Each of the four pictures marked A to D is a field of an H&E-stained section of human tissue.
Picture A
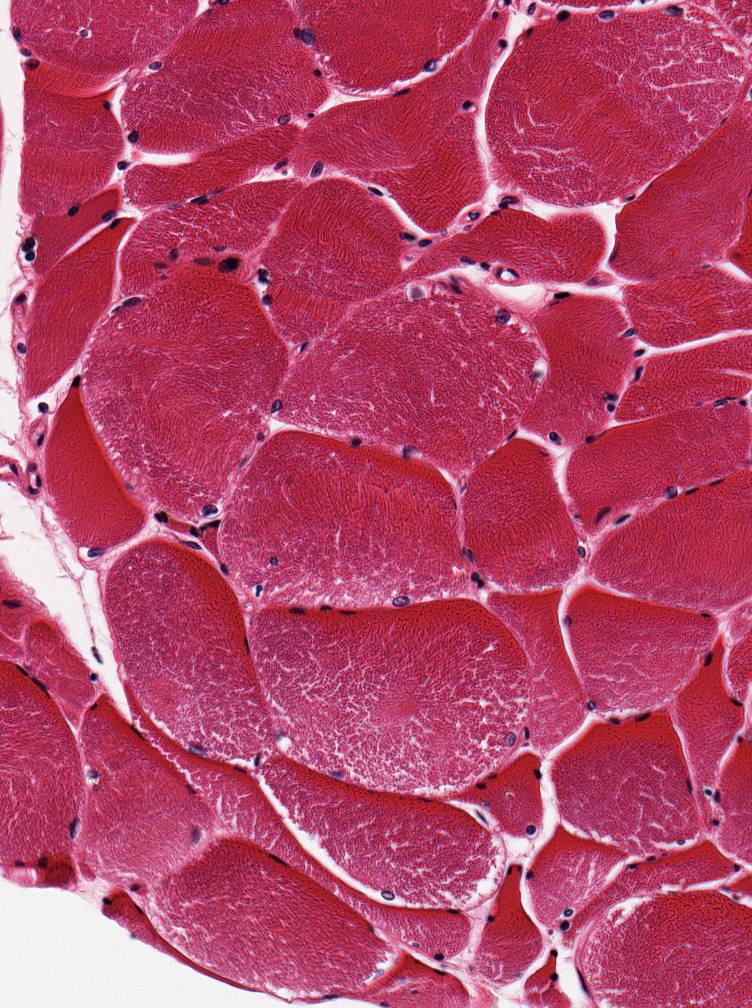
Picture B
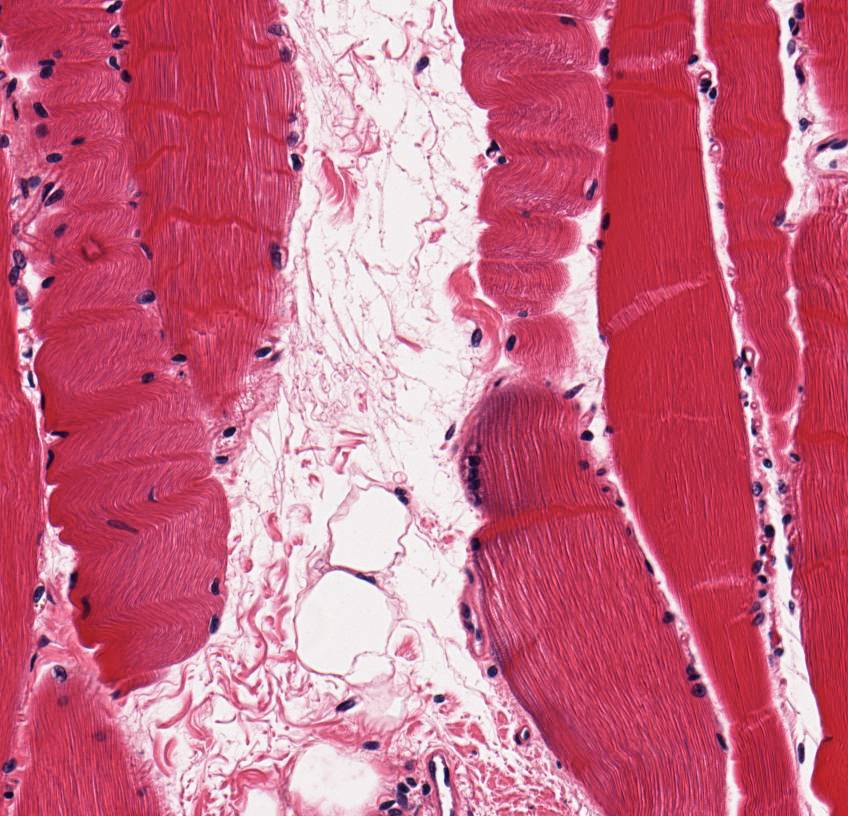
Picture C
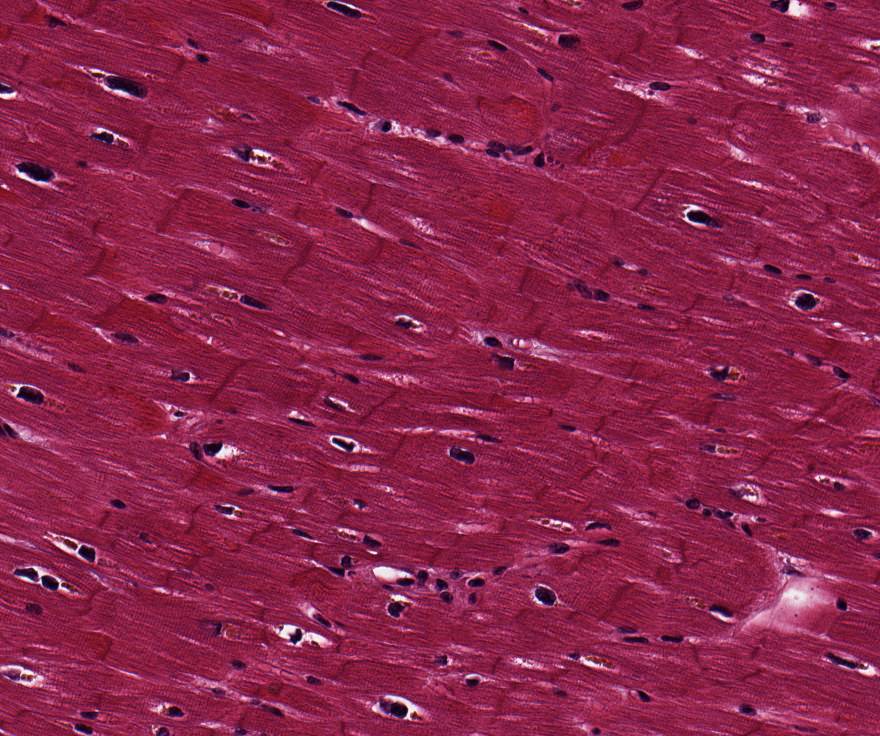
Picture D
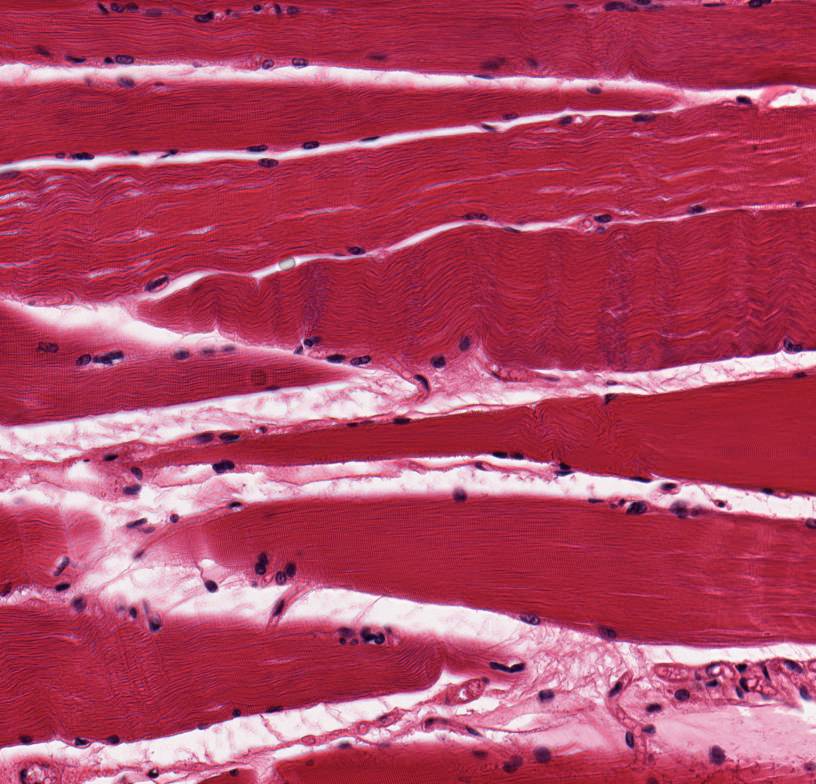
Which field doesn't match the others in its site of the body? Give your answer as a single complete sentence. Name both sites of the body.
Unlike the rest, which come from skeletal muscle, picture C comes from the left ventricle of the heart.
